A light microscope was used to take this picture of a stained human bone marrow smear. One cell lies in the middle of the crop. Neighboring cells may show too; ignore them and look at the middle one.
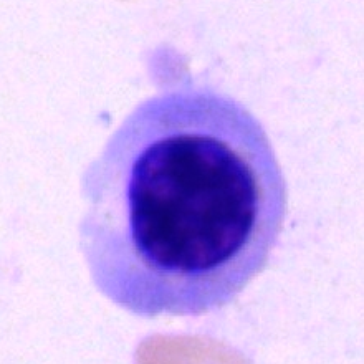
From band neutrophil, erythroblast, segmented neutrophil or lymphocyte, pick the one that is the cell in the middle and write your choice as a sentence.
What the crop centres on is an erythroblast.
